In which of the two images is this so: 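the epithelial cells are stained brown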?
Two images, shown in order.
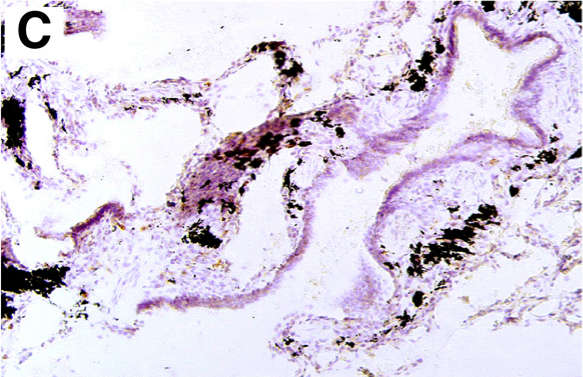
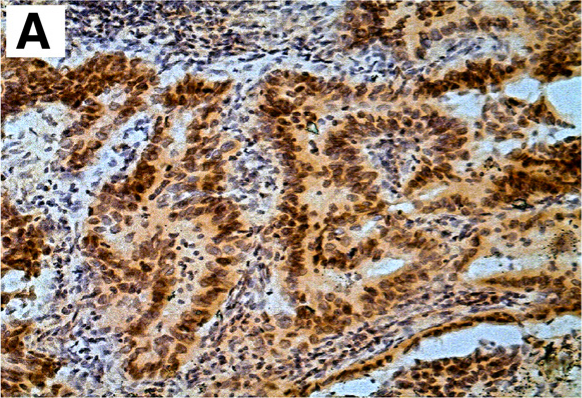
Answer: The second image.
